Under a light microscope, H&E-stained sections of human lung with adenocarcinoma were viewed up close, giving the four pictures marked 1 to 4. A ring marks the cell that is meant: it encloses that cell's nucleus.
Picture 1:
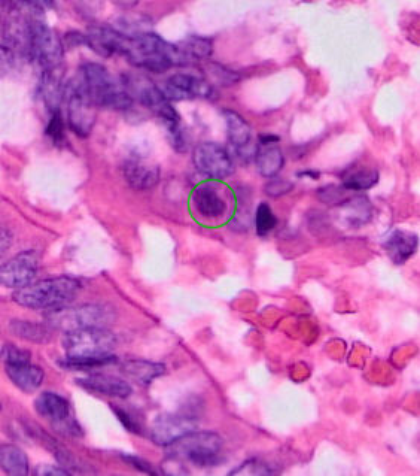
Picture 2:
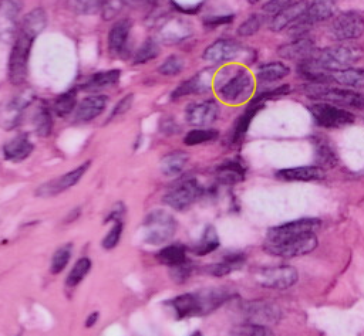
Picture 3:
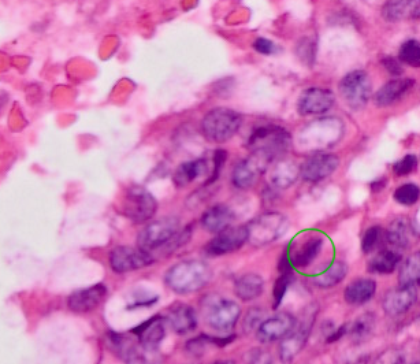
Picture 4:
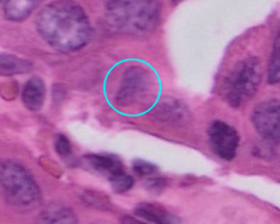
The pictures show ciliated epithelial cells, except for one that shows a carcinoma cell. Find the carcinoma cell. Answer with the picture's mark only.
4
